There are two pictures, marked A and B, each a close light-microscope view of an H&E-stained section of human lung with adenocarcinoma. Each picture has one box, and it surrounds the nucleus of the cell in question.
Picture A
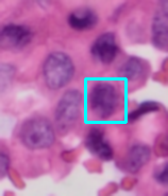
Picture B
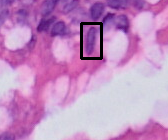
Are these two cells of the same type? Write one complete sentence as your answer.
No; the cell in picture A is a carcinoma cell, while the one in picture B is a ciliated epithelial cell.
